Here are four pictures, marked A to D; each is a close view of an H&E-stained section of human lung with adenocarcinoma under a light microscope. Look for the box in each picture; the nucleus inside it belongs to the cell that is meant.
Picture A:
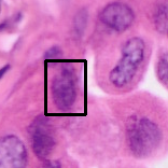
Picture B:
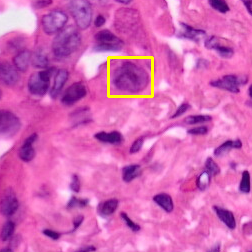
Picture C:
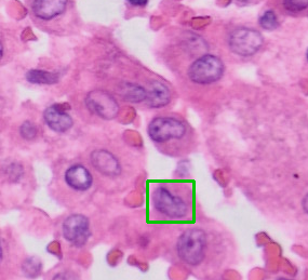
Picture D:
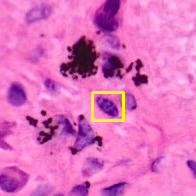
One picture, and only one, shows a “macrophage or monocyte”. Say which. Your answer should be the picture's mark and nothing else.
C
